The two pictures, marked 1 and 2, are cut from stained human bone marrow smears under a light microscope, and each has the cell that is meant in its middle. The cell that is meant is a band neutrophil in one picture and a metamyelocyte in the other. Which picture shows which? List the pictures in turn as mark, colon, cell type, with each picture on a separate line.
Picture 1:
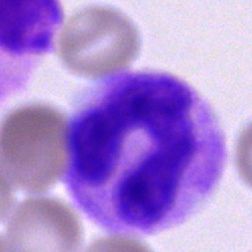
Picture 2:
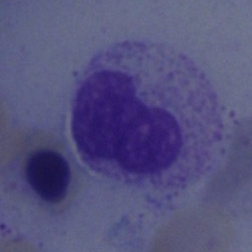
1: band neutrophil
2: metamyelocyte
